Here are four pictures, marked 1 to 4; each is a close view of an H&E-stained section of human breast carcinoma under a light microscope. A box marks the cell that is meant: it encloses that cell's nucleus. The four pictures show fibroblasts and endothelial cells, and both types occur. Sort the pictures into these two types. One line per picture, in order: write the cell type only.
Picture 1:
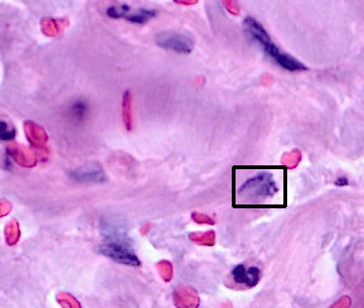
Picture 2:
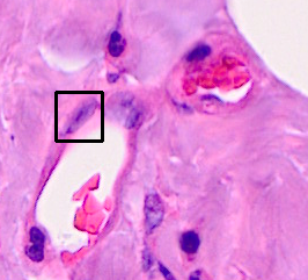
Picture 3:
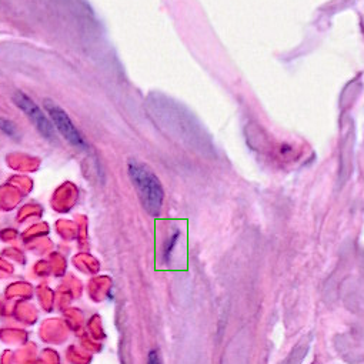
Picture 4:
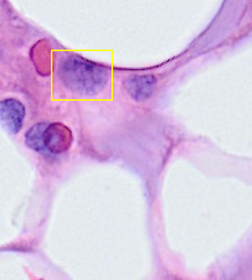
fibroblast
endothelial cell
fibroblast
endothelial cell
